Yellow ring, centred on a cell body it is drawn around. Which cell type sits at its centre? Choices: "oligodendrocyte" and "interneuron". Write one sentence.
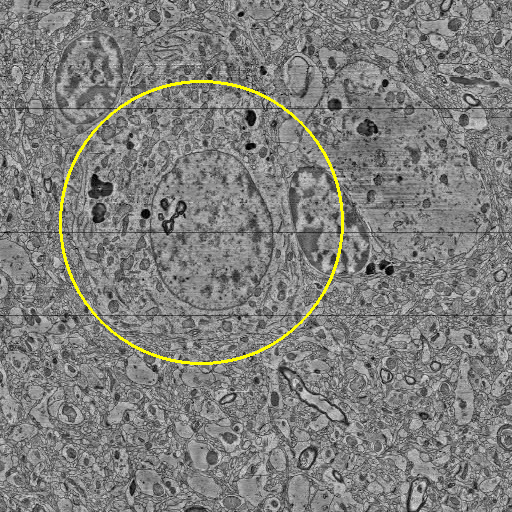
At the centre of the ring sits an interneuron.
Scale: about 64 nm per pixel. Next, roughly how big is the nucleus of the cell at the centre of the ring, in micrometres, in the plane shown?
The nucleus appears roughly 11 by 8 micrometres in this plane.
